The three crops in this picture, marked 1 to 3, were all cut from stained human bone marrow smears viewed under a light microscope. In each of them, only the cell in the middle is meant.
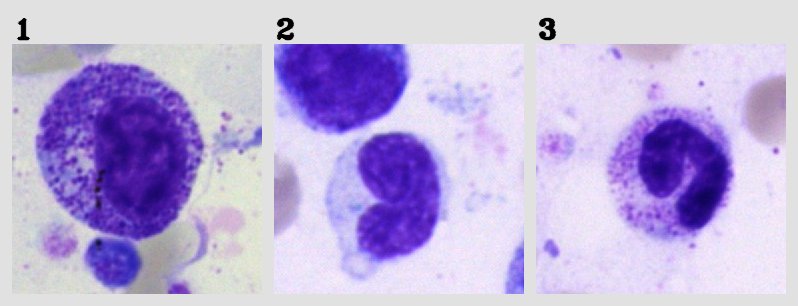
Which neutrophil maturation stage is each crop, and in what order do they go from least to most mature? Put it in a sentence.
The maturation sequence, earliest to latest, reads crop 1 (a myelocyte), crop 2 (a metamyelocyte) and crop 3 (a band neutrophil).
